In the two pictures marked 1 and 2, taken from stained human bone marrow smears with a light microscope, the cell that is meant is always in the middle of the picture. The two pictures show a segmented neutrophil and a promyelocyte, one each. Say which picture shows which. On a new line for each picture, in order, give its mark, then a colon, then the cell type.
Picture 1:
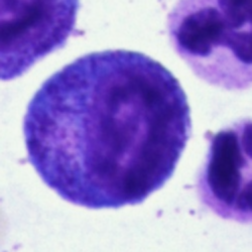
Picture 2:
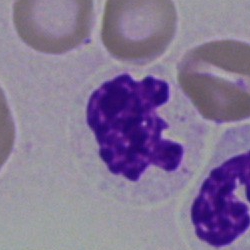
1: promyelocyte
2: segmented neutrophil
